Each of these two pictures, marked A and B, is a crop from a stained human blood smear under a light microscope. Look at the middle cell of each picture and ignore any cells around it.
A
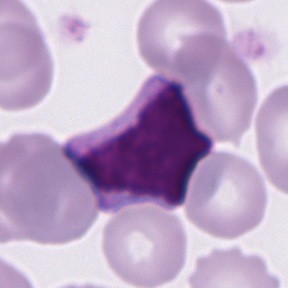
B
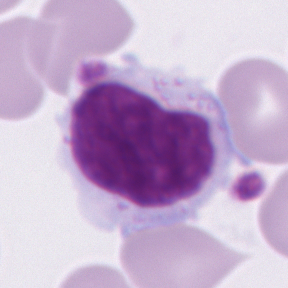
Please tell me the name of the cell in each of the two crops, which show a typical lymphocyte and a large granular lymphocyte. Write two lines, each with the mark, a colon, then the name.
A: typical lymphocyte
B: large granular lymphocyte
